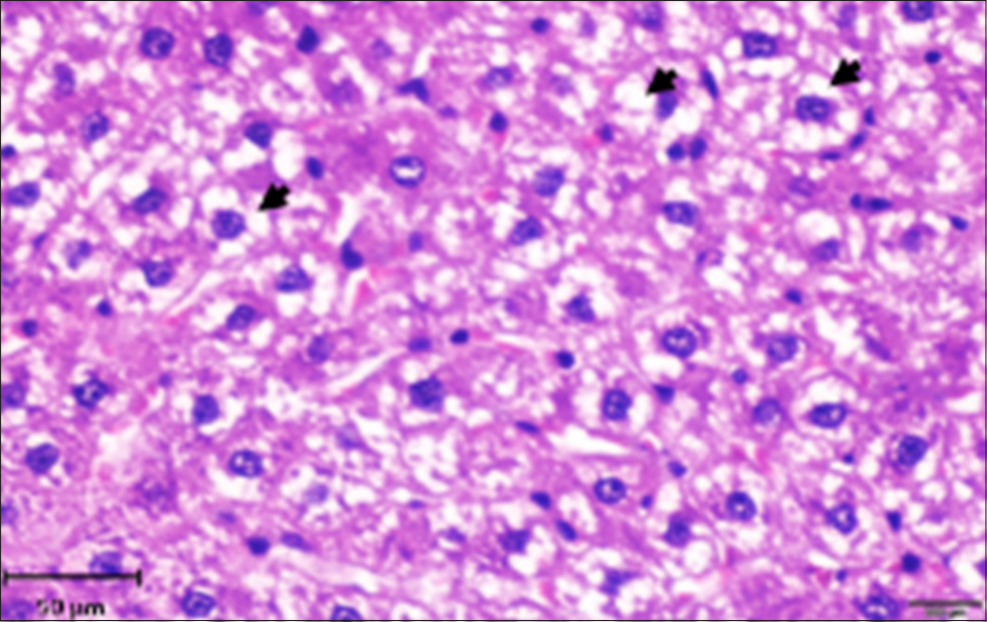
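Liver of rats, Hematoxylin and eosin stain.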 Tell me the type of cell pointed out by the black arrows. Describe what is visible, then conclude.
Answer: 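The cells form sheets of closely packed cells with eosinophilic cytoplasm between the pale areas.
Answer: hepatocytes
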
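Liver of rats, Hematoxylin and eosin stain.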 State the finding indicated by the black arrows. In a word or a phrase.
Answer: ballooning and vacuolization degenerative changes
